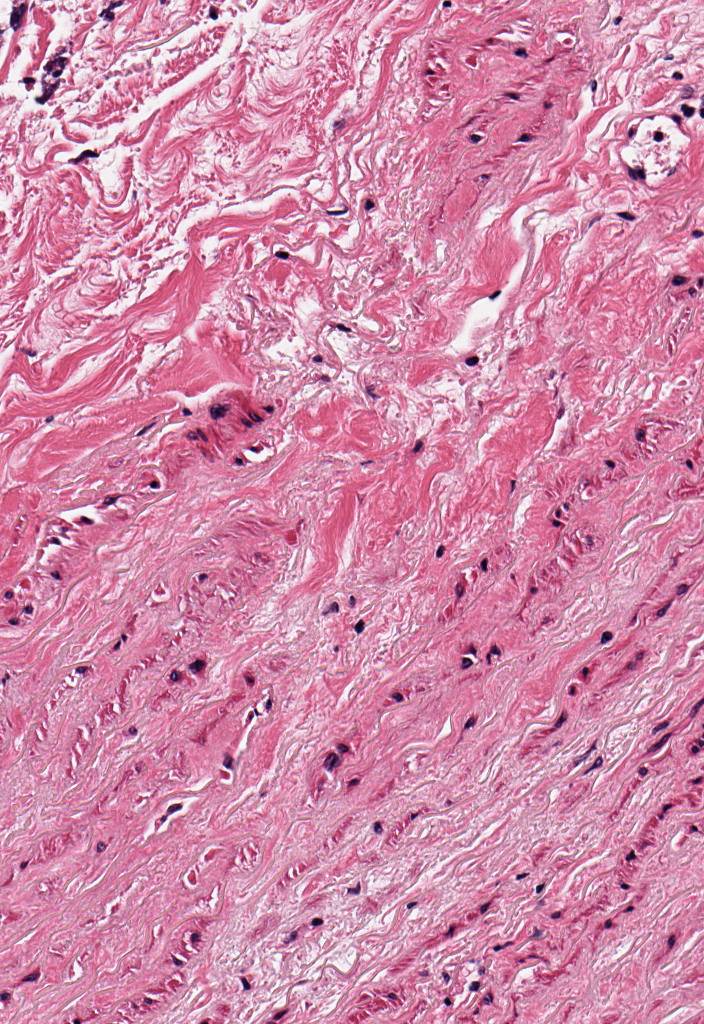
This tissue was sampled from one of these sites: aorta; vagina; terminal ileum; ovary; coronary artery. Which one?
aorta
